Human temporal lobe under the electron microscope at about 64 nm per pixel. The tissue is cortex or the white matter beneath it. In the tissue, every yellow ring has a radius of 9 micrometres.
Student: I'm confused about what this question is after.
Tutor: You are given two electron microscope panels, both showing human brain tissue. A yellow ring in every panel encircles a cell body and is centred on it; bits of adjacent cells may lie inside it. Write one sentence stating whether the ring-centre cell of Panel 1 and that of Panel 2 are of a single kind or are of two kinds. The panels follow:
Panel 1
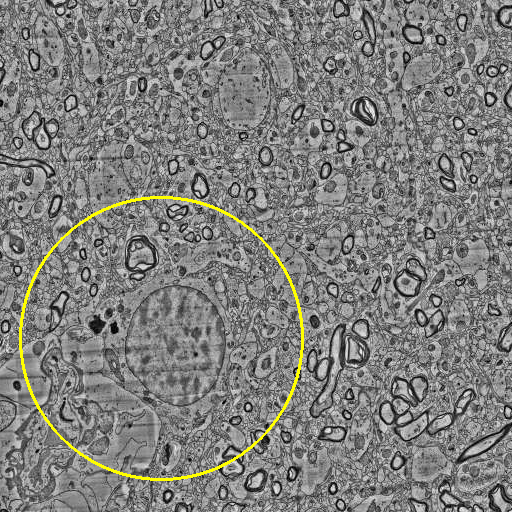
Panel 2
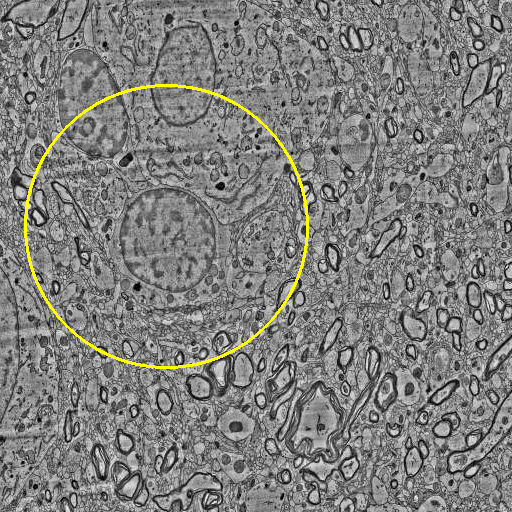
Here, the Panel 1 ring-centre cell and the Panel 2 ring-centre cell are of a single kind.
